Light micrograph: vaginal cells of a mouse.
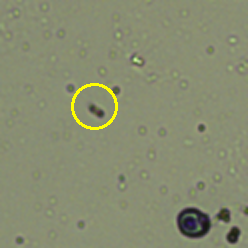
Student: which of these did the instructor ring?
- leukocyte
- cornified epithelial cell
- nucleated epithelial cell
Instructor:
The cell I ringed is a leukocyte.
